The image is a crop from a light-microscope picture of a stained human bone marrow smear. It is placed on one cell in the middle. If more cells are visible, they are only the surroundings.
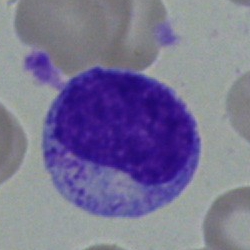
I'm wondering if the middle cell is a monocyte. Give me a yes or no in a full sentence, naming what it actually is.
No, mark the middle cell as a metamyelocyte, not a monocyte.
